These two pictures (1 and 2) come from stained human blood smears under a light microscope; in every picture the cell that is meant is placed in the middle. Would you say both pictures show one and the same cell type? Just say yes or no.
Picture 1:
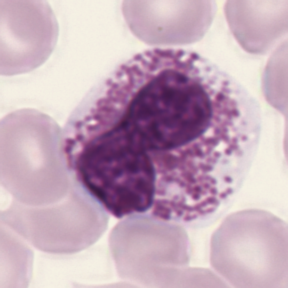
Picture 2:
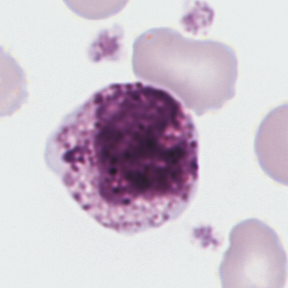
no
